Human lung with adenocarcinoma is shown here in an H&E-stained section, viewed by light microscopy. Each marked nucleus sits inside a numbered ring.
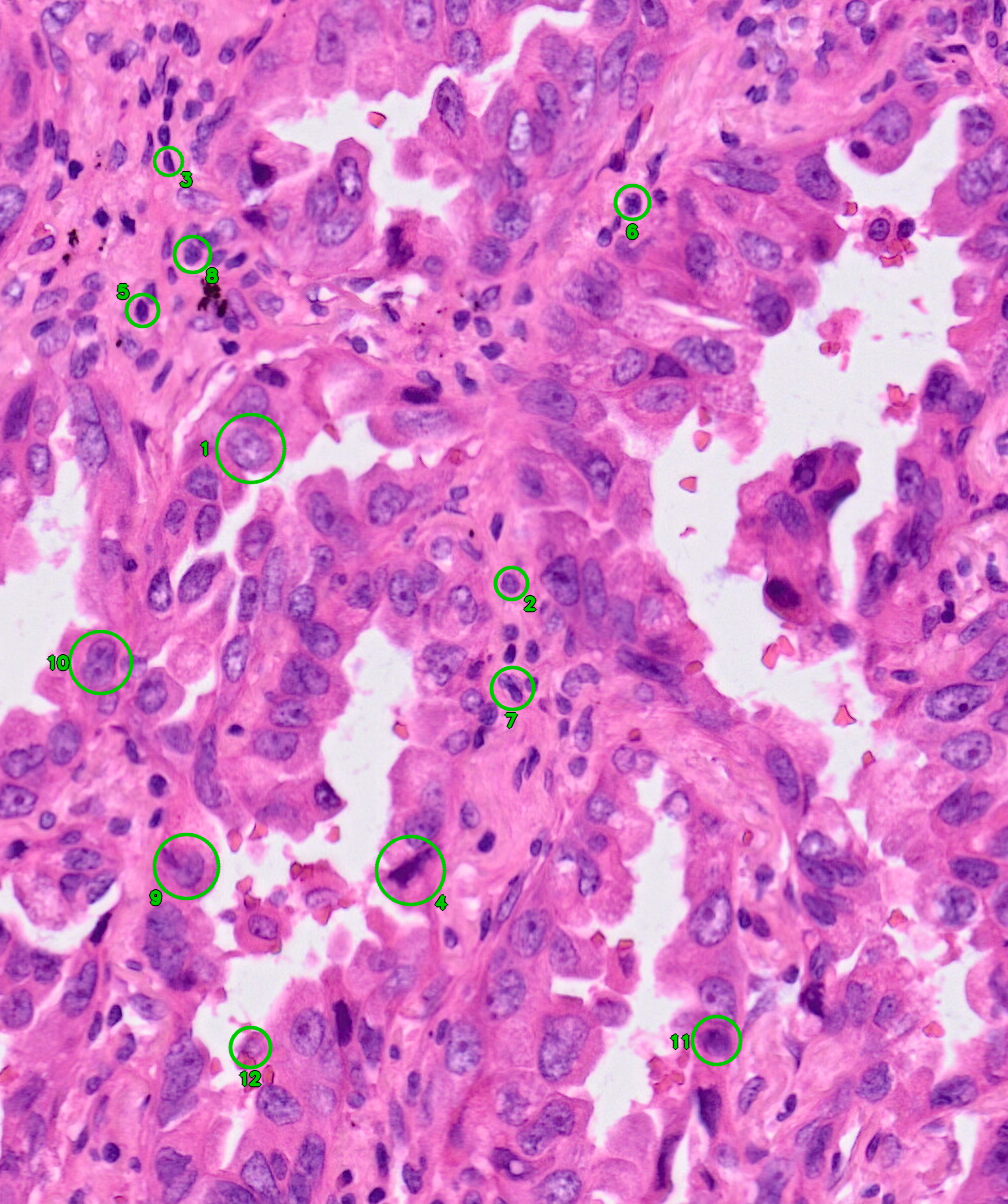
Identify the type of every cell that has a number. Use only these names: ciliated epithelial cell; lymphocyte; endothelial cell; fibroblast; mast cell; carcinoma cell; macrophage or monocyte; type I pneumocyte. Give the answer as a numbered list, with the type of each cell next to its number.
1. carcinoma cell
2. lymphocyte
3. lymphocyte
4. carcinoma cell
5. lymphocyte
6. lymphocyte
7. lymphocyte
8. lymphocyte
9. carcinoma cell
10. carcinoma cell
11. carcinoma cell
12. macrophage or monocyte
